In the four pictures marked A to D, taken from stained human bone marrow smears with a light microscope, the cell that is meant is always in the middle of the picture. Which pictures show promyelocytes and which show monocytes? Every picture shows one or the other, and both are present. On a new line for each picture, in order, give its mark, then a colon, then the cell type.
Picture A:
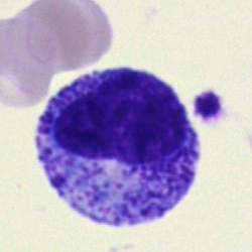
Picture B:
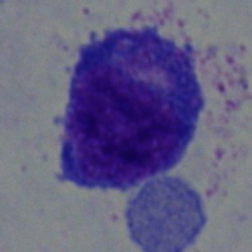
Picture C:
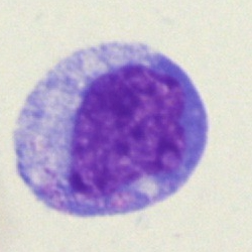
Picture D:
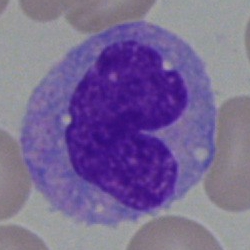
A: promyelocyte
B: promyelocyte
C: promyelocyte
D: monocyte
